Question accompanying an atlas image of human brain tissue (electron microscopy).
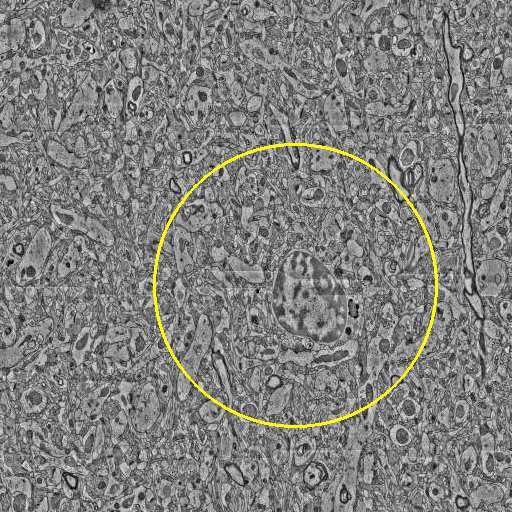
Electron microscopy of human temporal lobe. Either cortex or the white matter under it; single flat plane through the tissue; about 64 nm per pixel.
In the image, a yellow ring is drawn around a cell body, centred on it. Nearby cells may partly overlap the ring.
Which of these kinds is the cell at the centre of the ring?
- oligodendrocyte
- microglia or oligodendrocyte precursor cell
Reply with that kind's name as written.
microglia or oligodendrocyte precursor cell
